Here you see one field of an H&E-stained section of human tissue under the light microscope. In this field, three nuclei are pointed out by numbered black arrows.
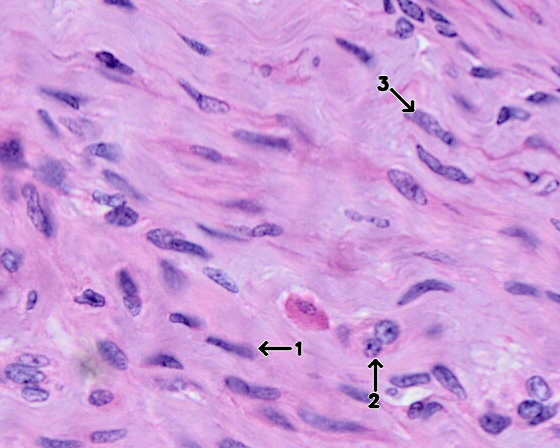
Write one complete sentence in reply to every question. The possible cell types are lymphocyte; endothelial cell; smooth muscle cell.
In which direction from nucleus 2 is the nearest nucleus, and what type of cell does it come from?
Lying above and to the right of nucleus 2, the nearest nucleus is that of an endothelial cell.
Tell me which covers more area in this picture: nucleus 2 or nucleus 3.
The larger nucleus is 3, at roughly 1.5 times the area of 2.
